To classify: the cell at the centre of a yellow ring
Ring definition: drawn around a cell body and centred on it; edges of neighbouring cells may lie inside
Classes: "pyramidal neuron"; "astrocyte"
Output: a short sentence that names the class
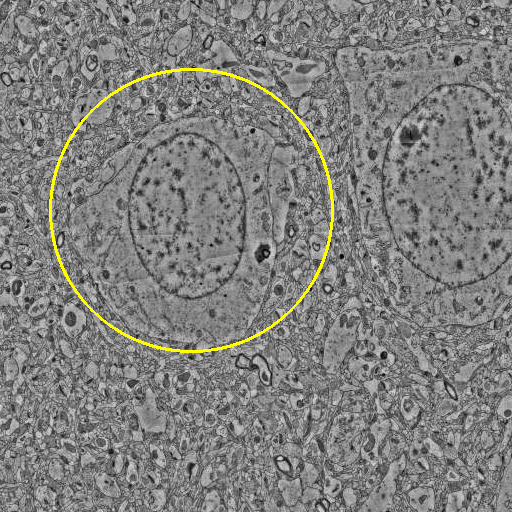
The ringed cell is a pyramidal neuron.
